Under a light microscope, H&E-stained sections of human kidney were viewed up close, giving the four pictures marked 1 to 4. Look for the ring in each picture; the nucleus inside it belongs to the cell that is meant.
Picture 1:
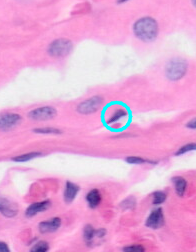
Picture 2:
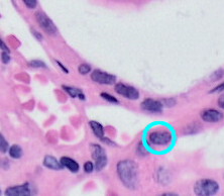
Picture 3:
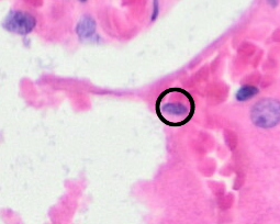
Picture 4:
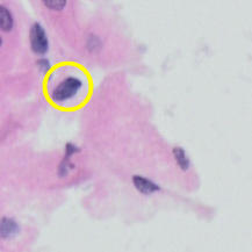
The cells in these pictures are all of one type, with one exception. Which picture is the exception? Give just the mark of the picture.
2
